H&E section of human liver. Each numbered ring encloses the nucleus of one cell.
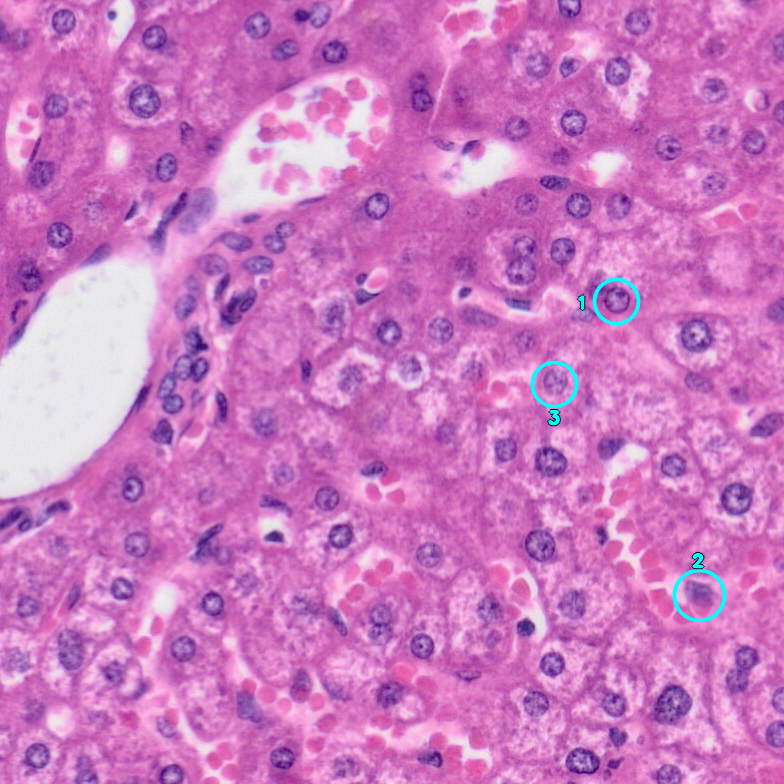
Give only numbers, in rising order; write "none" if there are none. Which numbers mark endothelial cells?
2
